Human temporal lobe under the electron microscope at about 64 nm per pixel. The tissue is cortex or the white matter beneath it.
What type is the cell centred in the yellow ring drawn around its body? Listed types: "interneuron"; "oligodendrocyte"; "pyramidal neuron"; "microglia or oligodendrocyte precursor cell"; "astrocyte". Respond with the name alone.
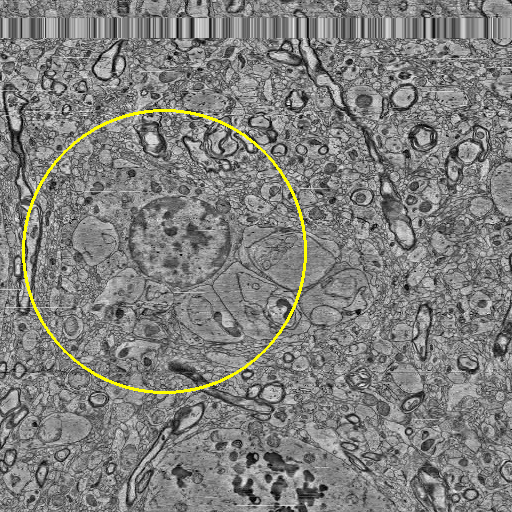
oligodendrocyte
